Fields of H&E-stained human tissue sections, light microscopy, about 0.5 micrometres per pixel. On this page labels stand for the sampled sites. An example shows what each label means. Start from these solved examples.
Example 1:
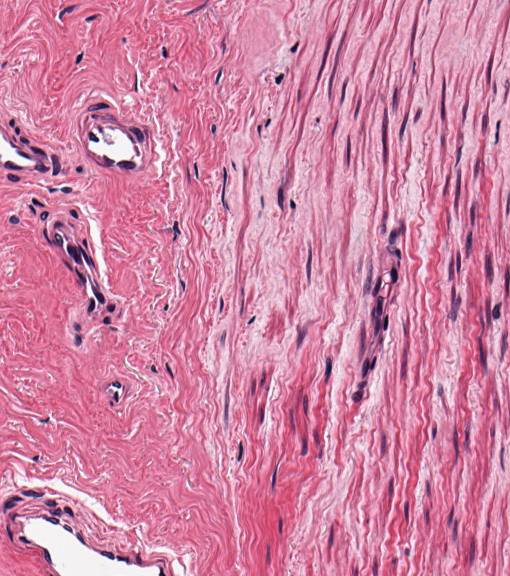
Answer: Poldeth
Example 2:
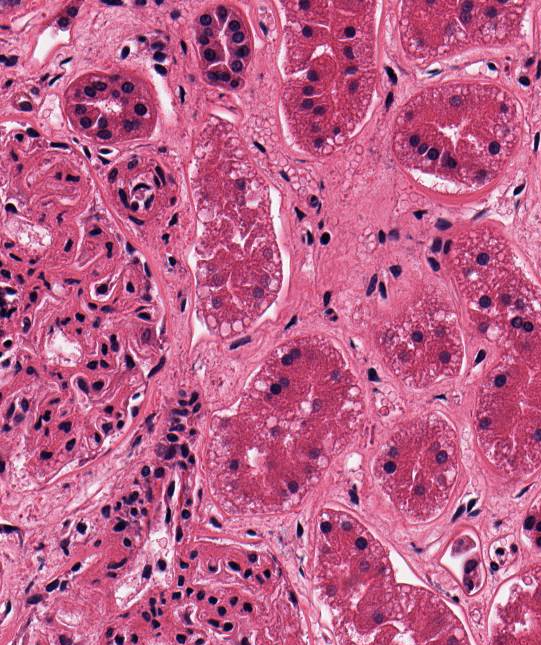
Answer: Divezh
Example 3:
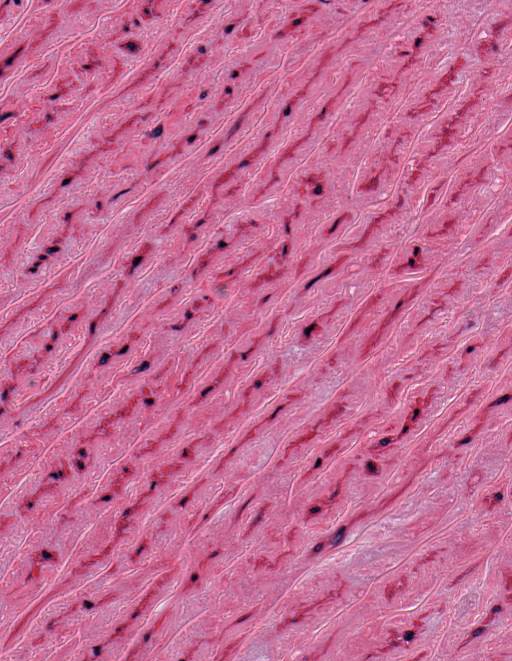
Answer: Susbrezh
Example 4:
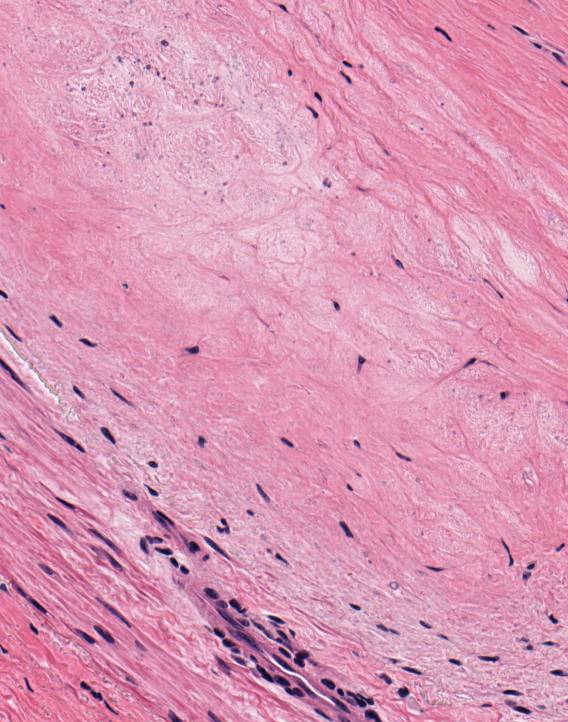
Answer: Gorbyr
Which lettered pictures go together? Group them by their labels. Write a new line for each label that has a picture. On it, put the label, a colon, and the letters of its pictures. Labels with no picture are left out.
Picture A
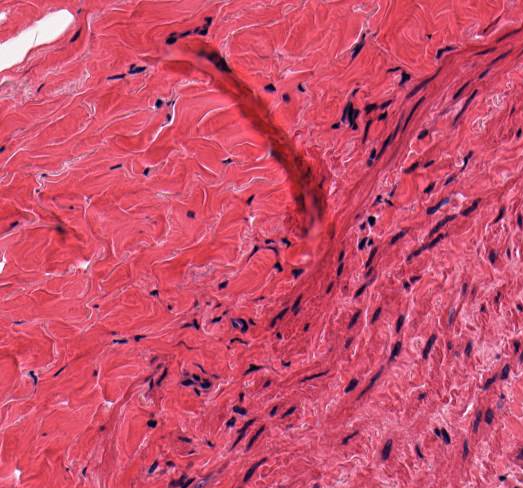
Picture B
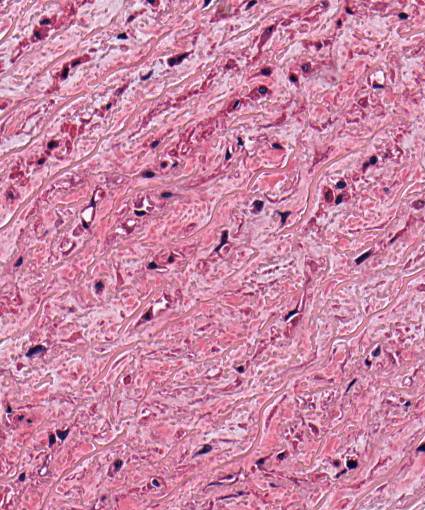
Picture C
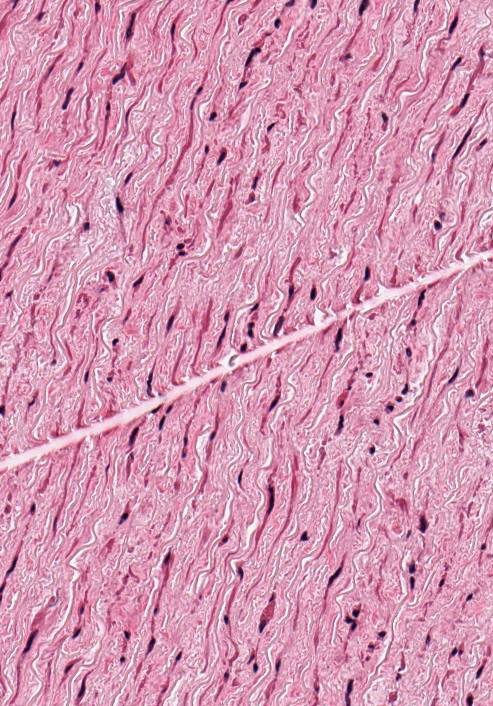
Poldeth: A
Susbrezh: B, C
